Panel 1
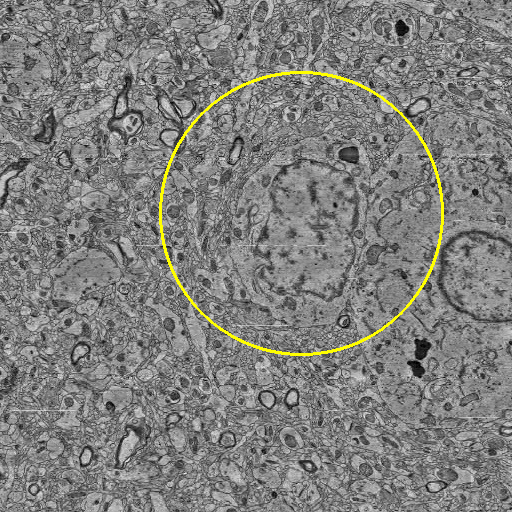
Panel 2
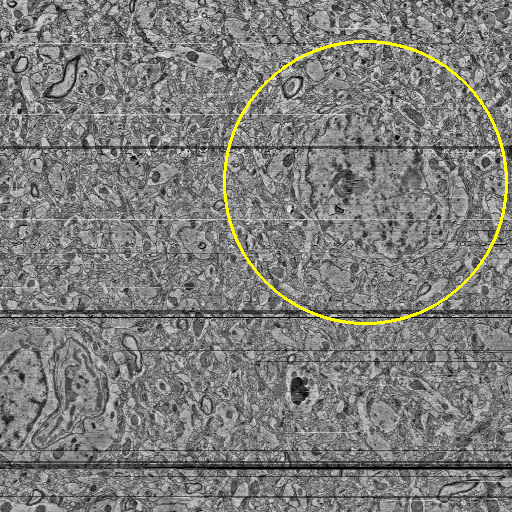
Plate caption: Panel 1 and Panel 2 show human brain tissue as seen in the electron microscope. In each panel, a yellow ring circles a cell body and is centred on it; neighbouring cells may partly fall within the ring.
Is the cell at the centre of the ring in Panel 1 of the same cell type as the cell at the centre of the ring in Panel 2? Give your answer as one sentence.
Yes, the two cells are of the same type.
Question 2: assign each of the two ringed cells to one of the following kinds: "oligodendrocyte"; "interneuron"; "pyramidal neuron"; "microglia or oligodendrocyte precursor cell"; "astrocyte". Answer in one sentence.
Each of the two pictures has an interneuron at the ring centre.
